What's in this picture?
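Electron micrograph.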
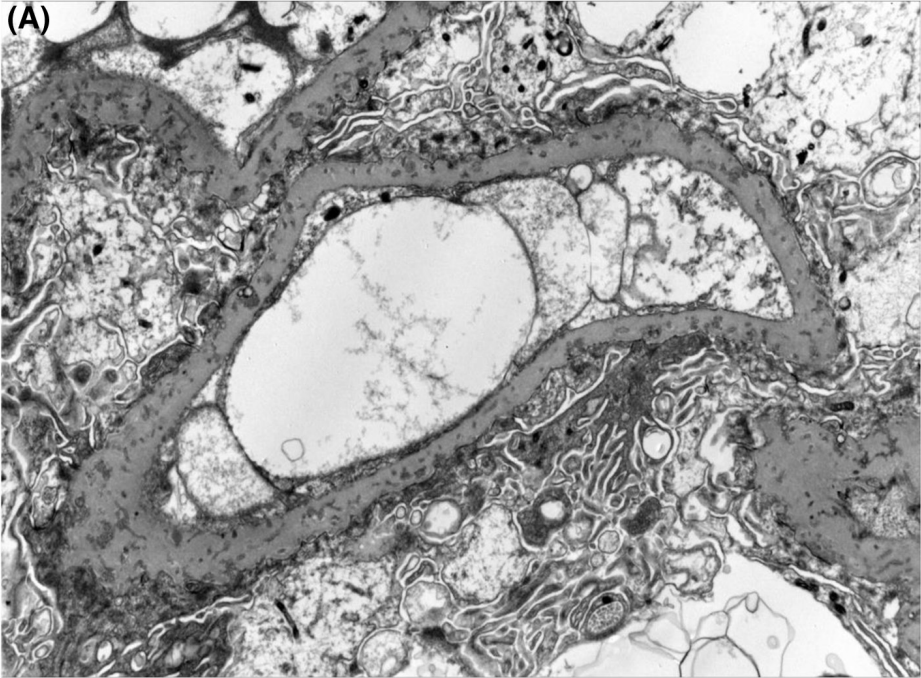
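This is a glomerular capillary in which the basement membrane is strikingly and irregularly thickened, forming a broad grey band around a wide open lumen. Small dark particles and profiles are scattered within the thickened band. Pale endothelial cytoplasm lines the lumen on the inner side. On the outer side the epithelial cells spread broadly over the membrane rather than resting on it by a neat row of separate foot processes, and their surfaces are thrown into many folded membranes.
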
